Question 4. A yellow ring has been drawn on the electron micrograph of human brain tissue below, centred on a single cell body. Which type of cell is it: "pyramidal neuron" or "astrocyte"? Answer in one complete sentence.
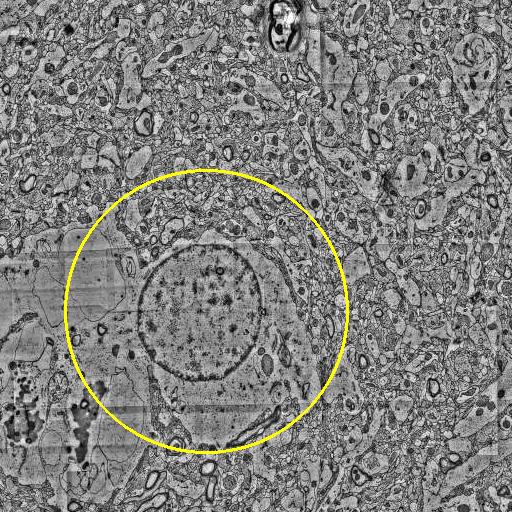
This cell body belongs to an astrocyte.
